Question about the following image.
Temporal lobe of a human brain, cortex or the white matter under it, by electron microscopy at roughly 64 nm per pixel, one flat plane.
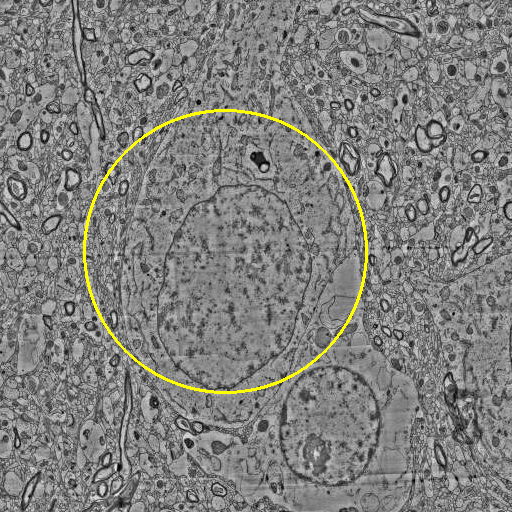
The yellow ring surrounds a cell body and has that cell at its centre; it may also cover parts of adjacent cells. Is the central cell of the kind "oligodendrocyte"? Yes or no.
No, it is of another kind.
